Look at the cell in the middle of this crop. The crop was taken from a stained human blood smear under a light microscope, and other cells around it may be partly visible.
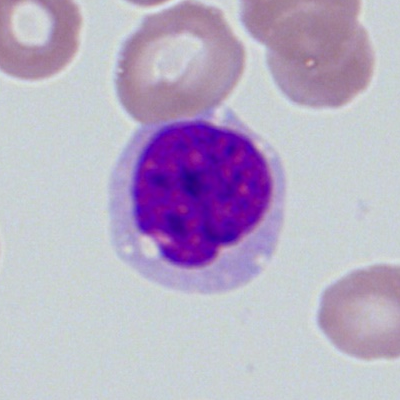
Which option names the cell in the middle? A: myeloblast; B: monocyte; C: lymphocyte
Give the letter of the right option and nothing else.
B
